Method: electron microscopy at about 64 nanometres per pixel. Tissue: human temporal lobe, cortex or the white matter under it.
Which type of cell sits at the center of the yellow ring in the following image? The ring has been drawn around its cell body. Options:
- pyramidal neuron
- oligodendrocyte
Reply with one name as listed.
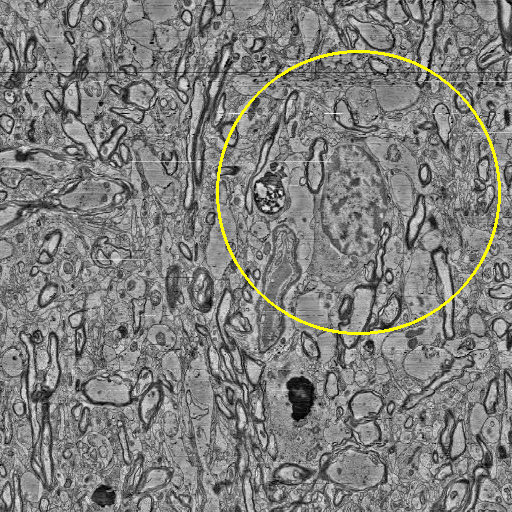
oligodendrocyte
